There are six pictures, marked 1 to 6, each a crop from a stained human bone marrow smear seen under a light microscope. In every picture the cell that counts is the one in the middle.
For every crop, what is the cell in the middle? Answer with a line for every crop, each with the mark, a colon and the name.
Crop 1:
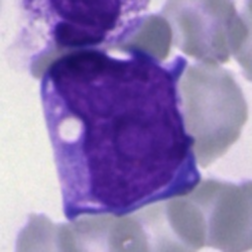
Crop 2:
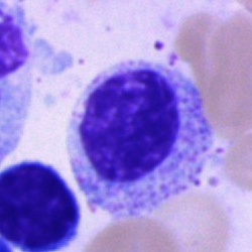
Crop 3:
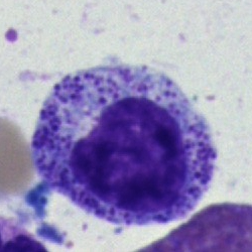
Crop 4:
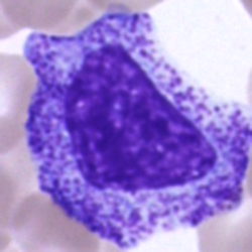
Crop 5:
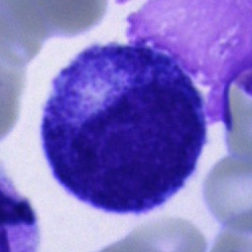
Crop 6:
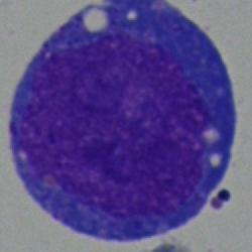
1: blast
2: myelocyte
3: myelocyte
4: myelocyte
5: promyelocyte
6: blast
